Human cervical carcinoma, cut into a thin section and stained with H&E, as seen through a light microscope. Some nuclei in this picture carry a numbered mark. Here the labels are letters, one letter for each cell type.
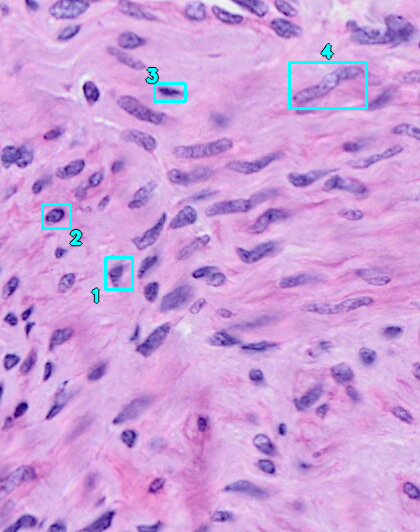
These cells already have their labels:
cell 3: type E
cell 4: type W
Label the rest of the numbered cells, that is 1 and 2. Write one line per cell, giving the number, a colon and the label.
1: type E
2: type W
